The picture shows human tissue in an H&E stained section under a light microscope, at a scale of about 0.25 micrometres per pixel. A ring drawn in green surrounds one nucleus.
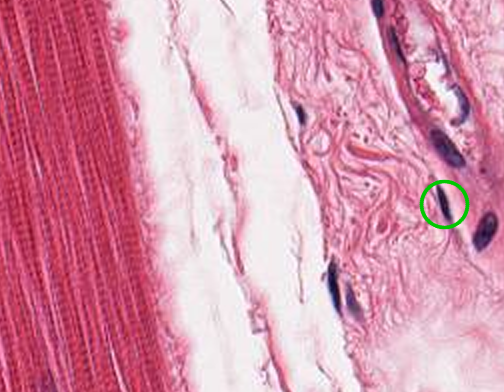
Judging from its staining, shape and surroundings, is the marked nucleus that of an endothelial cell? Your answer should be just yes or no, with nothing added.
no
